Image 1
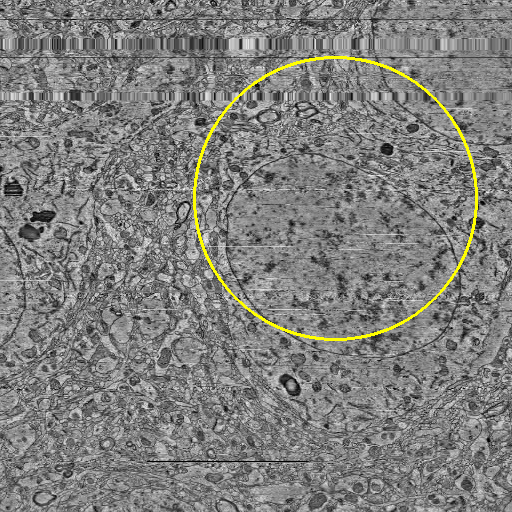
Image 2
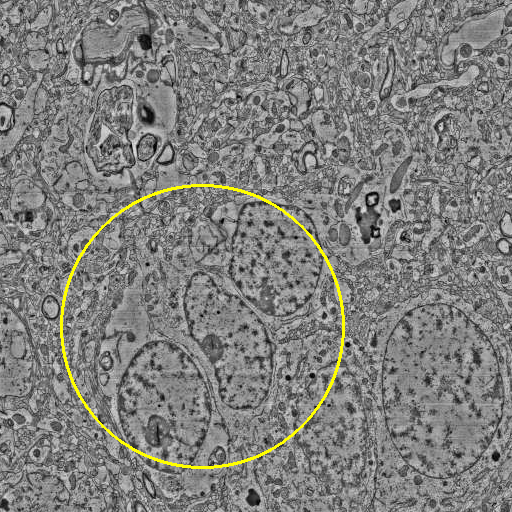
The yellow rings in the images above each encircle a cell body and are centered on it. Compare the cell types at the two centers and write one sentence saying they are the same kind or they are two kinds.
Taken together, the two cells at the ring centers are two kinds.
